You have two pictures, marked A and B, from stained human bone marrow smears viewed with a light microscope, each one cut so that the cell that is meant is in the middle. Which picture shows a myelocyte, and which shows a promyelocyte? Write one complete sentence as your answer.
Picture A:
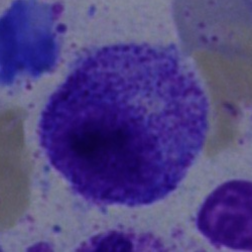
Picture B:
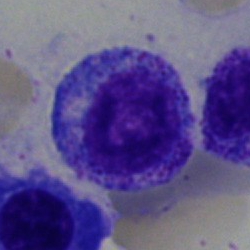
Picture B shows a promyelocyte, while picture A shows a myelocyte.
